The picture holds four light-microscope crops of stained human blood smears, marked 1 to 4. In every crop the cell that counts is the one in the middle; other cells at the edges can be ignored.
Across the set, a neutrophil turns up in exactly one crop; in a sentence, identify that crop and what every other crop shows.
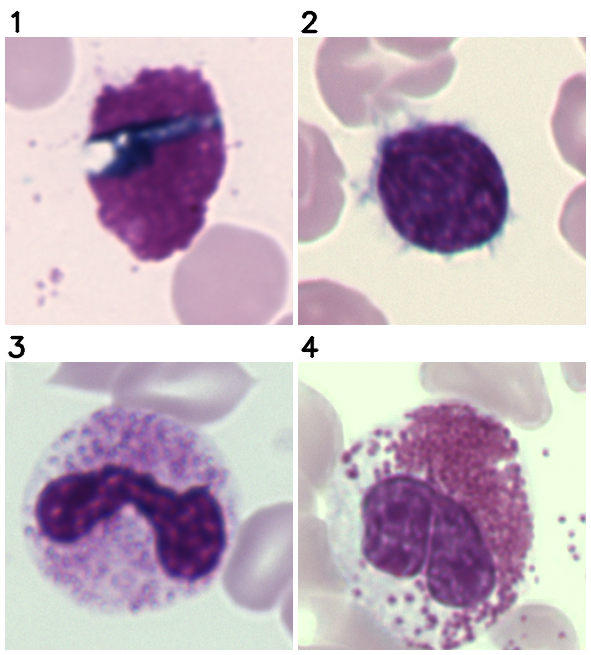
Crop 3 is the one showing a neutrophil, whereas crop 1 is a smudge cell, crop 2 is a hairy cell and crop 4 is an eosinophil.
